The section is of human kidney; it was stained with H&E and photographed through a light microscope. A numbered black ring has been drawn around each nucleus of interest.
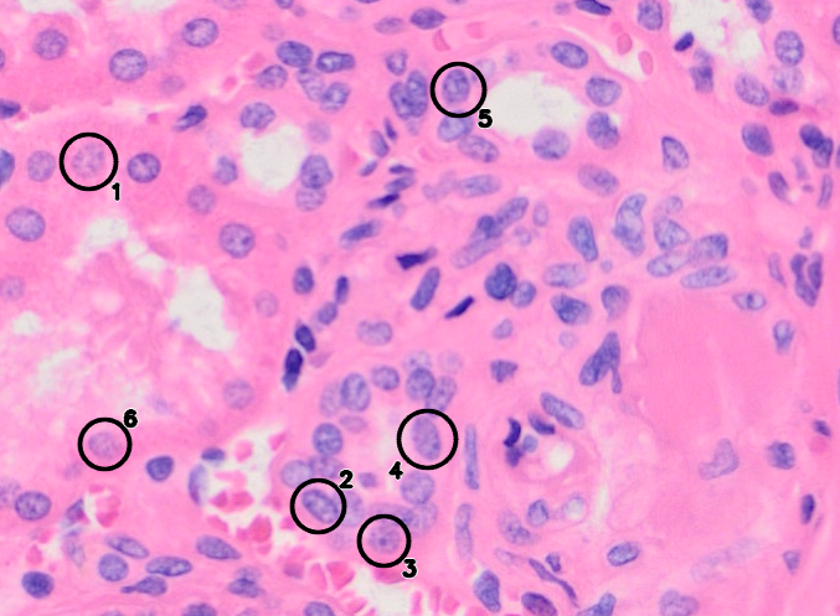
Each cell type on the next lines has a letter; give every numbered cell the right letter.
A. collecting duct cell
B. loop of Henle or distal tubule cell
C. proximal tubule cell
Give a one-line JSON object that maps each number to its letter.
{"1": "C", "2": "A", "3": "A", "4": "A", "5": "A", "6": "C"}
